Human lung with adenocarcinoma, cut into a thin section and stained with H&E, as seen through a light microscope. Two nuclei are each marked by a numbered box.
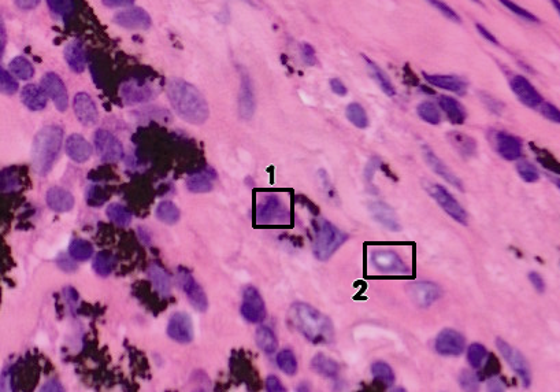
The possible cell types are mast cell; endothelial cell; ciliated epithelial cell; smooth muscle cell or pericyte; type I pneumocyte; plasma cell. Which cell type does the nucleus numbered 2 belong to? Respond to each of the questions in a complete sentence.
Identified as an endothelial cell is the cell bearing the number 2.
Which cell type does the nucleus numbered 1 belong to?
The numbered cell 1 is identified here as a plasma cell.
